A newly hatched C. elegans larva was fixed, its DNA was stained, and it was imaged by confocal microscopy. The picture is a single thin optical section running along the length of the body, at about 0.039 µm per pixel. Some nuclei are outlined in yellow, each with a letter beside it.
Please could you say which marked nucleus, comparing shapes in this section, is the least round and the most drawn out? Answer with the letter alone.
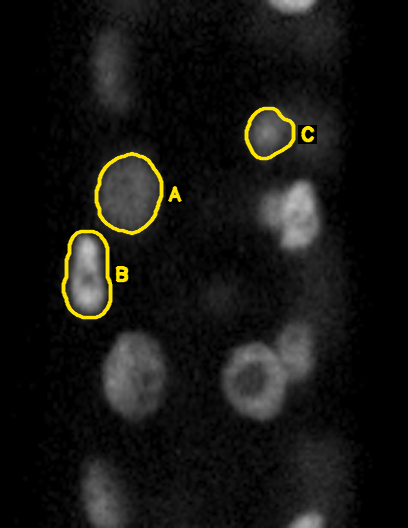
B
